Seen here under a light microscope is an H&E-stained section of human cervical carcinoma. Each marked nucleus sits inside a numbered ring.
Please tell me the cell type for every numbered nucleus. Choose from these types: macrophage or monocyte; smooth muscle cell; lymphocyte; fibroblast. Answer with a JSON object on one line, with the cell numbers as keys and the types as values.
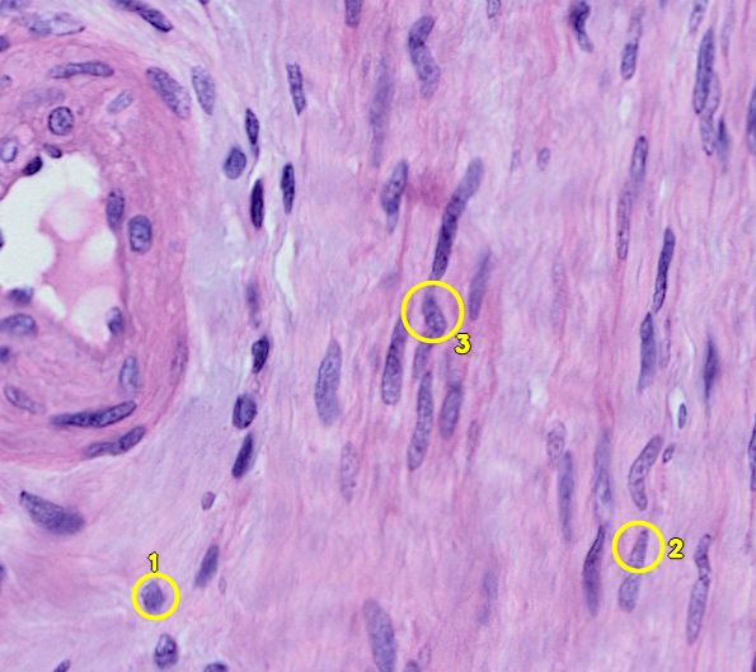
{"1": "fibroblast", "2": "smooth muscle cell", "3": "smooth muscle cell"}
